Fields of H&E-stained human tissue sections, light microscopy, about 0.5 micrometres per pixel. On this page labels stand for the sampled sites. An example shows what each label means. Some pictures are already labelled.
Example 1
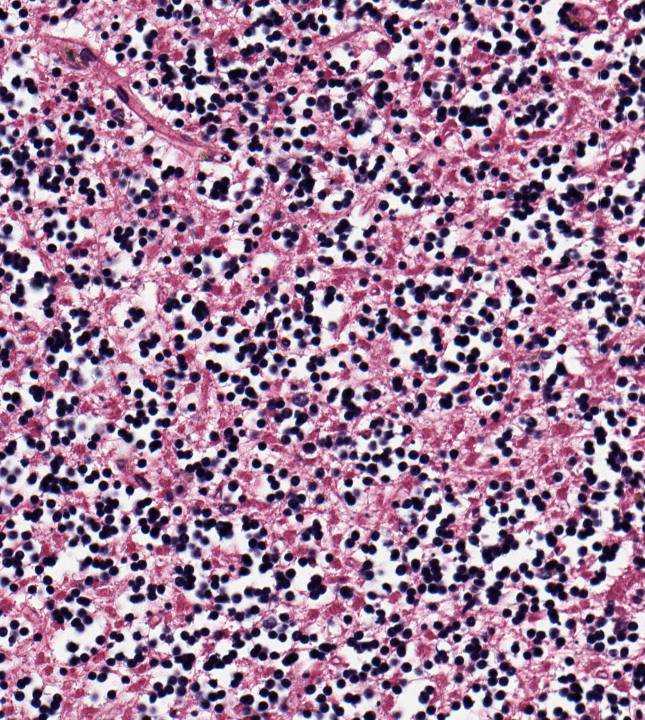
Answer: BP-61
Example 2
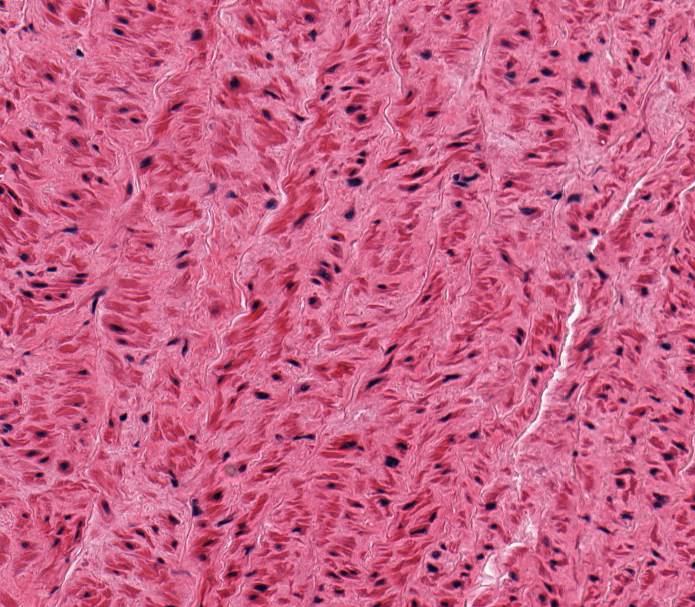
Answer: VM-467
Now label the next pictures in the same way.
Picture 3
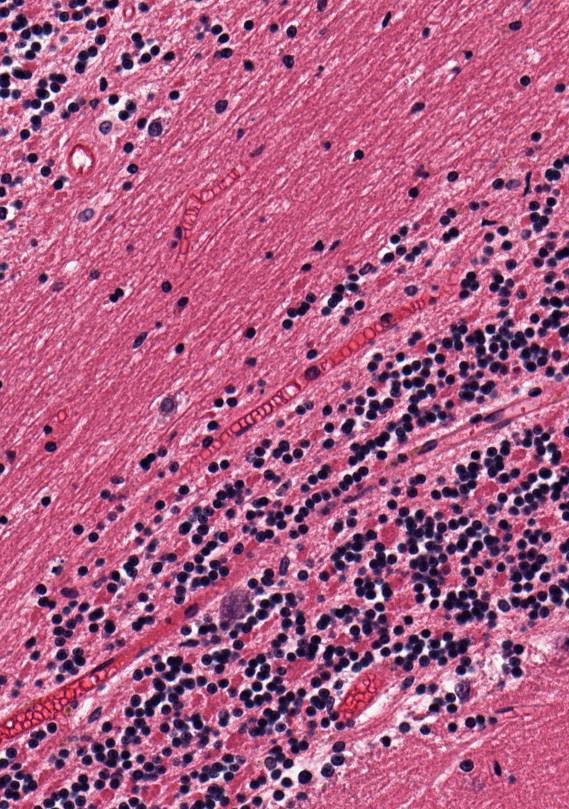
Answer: BP-61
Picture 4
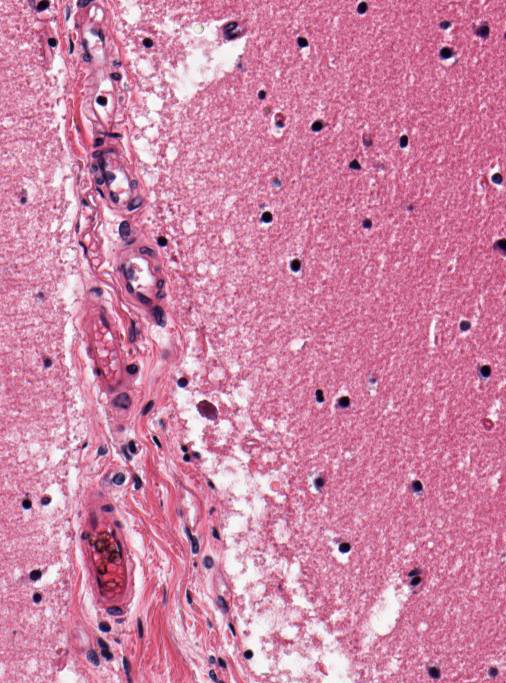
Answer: BP-61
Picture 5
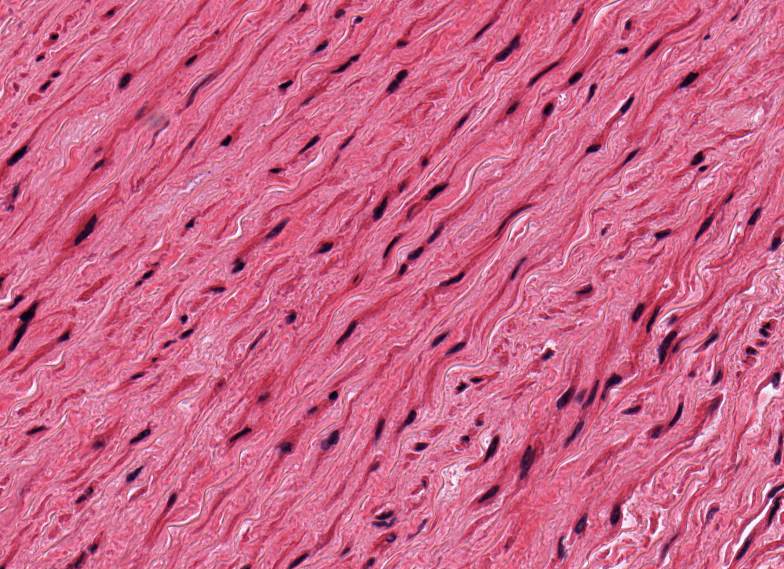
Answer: VM-467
